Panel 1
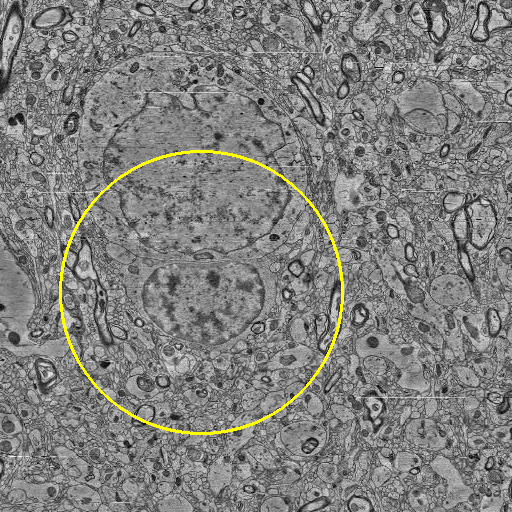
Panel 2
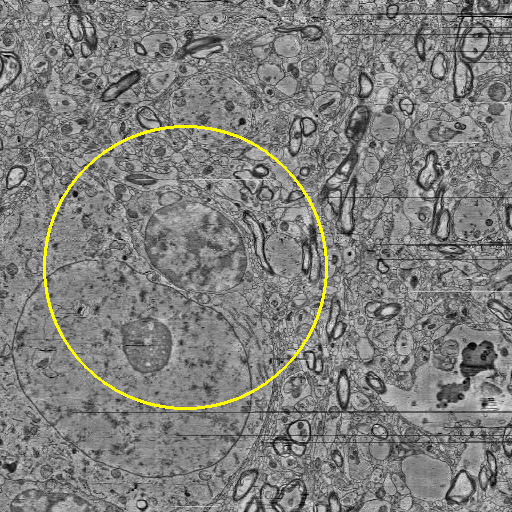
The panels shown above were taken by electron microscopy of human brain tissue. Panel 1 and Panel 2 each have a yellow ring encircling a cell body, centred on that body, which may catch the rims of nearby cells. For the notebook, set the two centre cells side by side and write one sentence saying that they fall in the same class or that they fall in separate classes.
The centred cells of Panel 1 and Panel 2 fall in the same class.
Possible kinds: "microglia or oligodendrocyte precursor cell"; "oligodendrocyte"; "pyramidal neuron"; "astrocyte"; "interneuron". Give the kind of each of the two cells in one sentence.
Both the first and the second picture show an oligodendrocyte in the ring.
